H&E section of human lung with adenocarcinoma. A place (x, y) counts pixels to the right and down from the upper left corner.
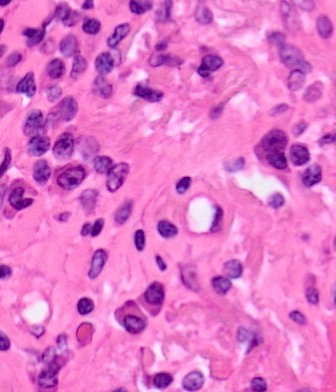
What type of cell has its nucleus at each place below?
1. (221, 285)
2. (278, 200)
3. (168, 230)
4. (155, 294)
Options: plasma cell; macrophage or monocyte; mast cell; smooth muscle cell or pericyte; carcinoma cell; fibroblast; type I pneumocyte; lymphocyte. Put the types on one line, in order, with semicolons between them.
lymphocyte; lymphocyte; lymphocyte; plasma cell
